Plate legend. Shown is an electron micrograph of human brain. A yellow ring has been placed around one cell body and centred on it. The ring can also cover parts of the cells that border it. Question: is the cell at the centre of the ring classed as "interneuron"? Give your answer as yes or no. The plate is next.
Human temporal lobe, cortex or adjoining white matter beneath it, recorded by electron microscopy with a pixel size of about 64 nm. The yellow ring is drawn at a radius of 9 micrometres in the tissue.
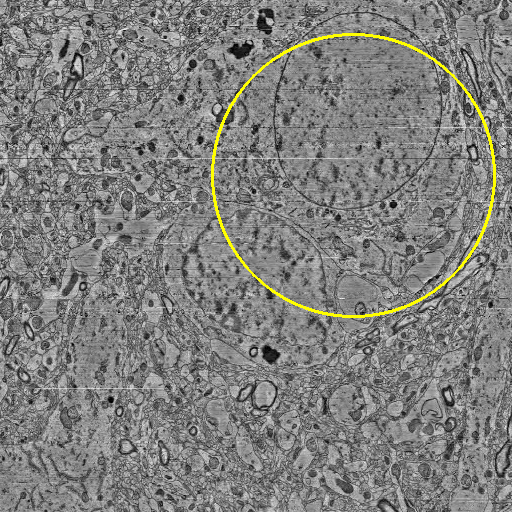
No, the ringed cell is of another kind.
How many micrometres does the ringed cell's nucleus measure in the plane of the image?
The nucleus has a long axis of about 13 micrometres and a short axis of about 11 micrometres in this plane.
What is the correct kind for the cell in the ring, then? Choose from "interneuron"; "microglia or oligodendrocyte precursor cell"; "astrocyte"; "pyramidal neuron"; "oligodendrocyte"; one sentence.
As it turns out, the cell at the ring centre is a pyramidal neuron.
